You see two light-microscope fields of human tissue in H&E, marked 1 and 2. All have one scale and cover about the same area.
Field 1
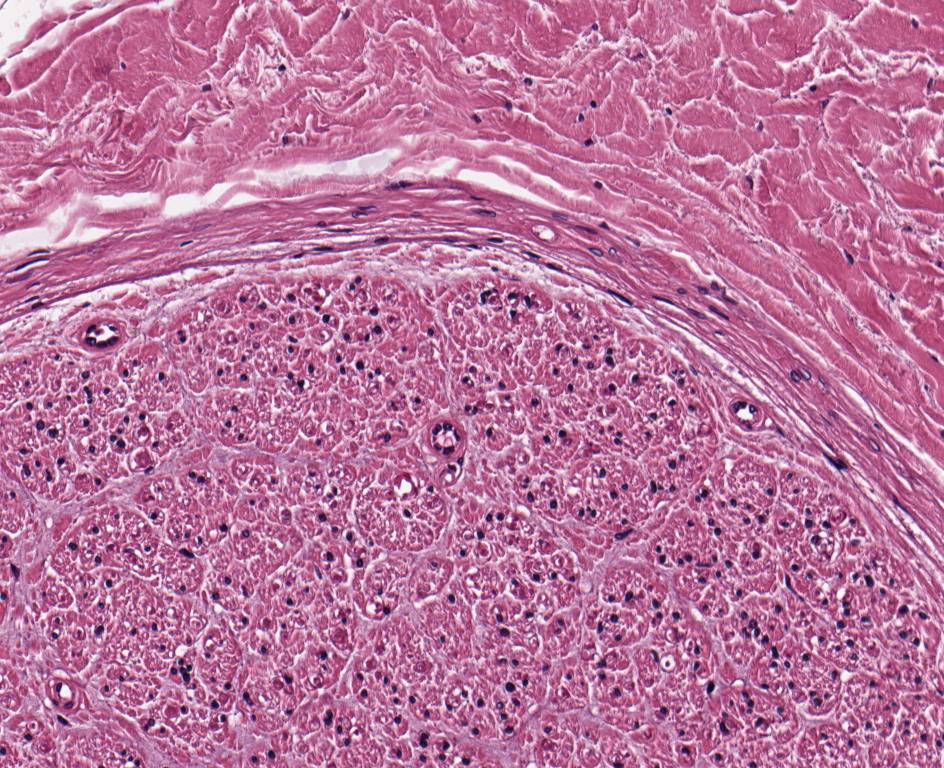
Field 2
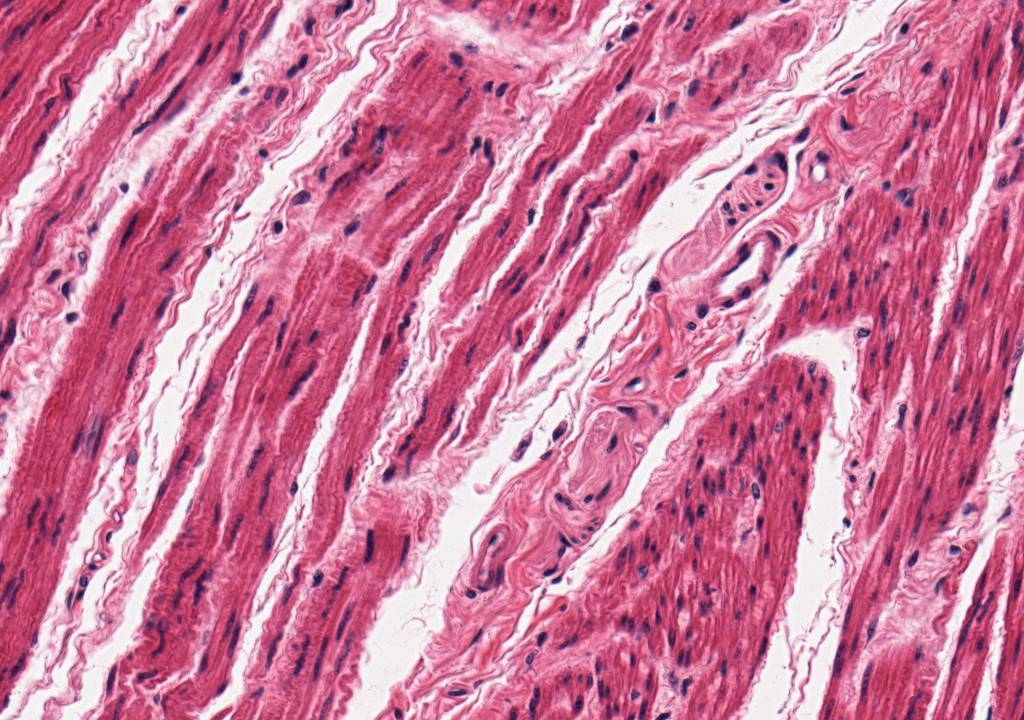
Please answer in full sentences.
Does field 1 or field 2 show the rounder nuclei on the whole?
The nuclei are rounder in field 1.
